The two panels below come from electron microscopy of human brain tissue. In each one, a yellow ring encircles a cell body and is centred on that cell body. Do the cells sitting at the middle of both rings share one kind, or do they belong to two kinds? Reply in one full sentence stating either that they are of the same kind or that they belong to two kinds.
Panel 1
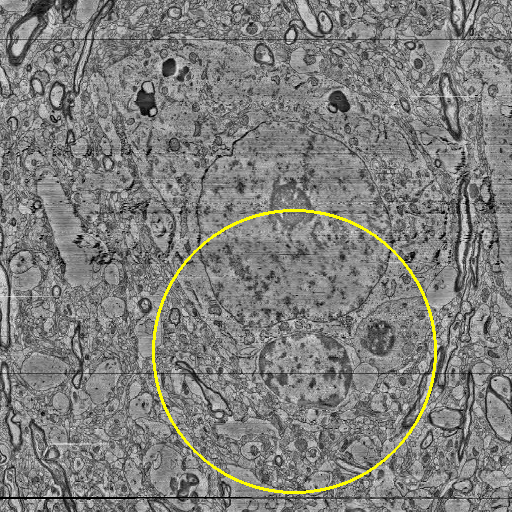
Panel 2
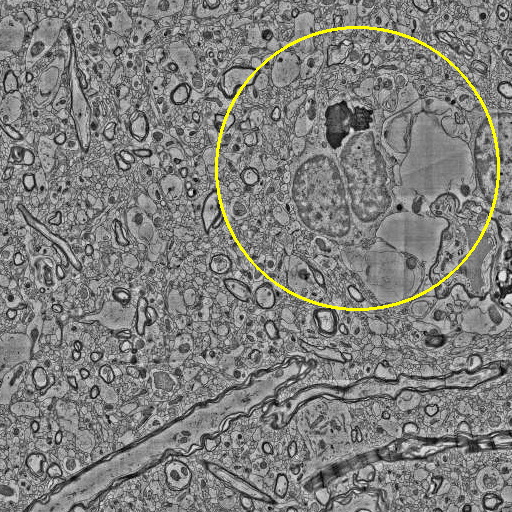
The cells at the centres of the two rings belong to two kinds.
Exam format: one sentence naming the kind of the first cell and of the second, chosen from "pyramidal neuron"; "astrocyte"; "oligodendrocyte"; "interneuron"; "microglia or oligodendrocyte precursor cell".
The first picture's cell is a microglial cell or oligodendrocyte precursor cell, and the second picture's cell is an oligodendrocyte.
